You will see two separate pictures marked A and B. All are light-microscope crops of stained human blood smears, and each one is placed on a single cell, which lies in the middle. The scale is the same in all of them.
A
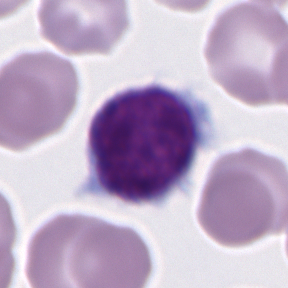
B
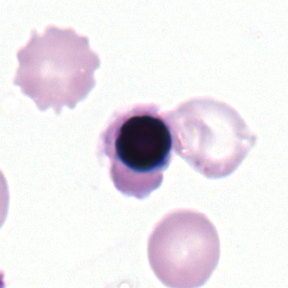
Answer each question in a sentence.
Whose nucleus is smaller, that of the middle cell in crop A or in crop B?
The nucleus in crop B is smaller; the one in crop A has about 4 times its area.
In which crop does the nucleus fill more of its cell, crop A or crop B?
Of the two, the nucleus in crop A makes up the greater part of its cell.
